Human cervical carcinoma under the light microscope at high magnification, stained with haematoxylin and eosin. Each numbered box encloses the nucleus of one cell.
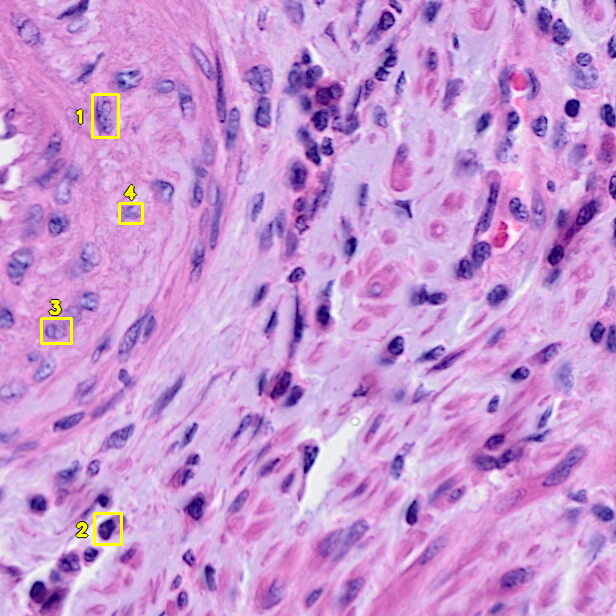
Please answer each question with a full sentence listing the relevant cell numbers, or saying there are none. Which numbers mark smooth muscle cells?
The numbers 1, 3 and 4 in this section indicate smooth muscle cells.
